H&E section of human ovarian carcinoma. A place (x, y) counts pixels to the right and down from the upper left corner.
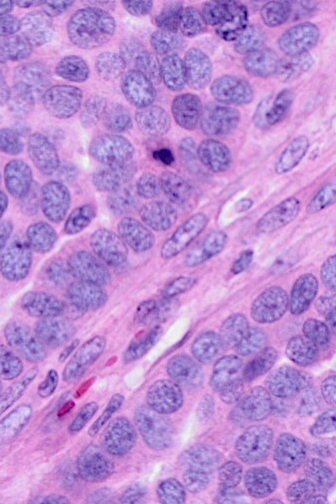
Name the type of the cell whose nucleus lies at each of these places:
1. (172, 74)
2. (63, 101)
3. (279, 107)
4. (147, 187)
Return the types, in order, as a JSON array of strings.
["carcinoma cell", "carcinoma cell", "fibroblast", "carcinoma cell"]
